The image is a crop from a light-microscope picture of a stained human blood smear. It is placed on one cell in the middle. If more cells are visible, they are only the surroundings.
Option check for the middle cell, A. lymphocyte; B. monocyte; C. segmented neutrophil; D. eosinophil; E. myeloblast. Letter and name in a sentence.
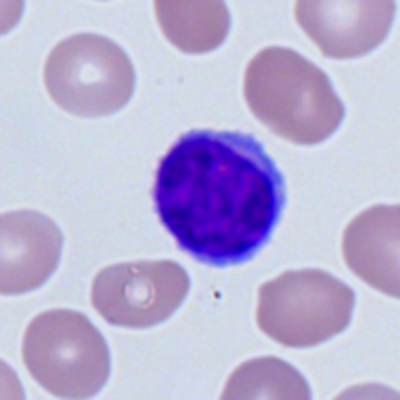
Option A holds, for the cell in the middle is a lymphocyte.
